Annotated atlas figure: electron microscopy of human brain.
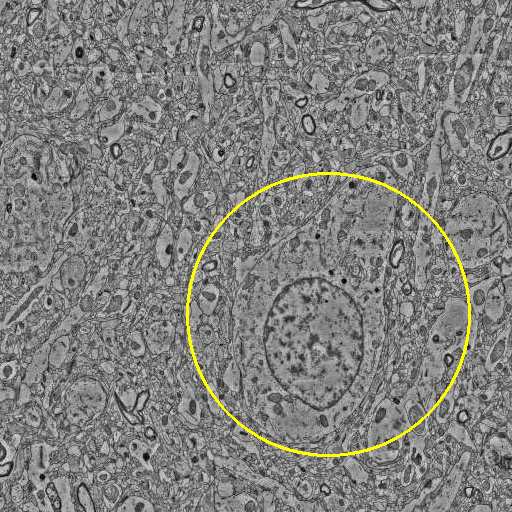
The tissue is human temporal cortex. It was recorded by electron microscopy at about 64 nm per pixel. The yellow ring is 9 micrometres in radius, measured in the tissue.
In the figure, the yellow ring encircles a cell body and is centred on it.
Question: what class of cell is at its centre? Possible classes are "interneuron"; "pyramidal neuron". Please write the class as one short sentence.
The yellow ring is drawn around a pyramidal neuron.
